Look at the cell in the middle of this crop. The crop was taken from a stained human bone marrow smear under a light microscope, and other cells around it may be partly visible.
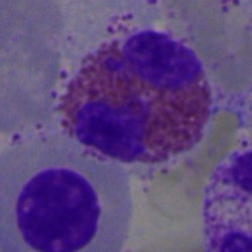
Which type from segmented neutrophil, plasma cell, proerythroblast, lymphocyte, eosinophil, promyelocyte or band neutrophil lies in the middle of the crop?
eosinophil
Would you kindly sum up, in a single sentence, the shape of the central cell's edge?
The edge of the cell is broken up by ragged stretches or by outward projections.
